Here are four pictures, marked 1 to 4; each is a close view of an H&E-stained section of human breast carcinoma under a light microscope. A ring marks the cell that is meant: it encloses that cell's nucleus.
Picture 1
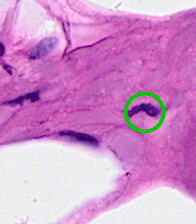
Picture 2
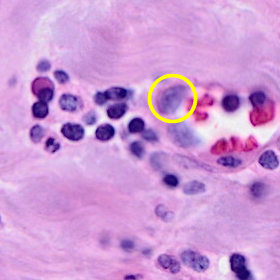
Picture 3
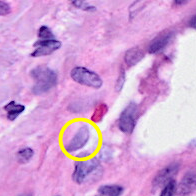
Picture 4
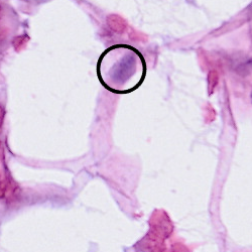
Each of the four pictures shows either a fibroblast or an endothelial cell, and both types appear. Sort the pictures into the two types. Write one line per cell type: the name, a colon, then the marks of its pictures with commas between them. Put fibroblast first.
fibroblast: 1
endothelial cell: 2, 3, 4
